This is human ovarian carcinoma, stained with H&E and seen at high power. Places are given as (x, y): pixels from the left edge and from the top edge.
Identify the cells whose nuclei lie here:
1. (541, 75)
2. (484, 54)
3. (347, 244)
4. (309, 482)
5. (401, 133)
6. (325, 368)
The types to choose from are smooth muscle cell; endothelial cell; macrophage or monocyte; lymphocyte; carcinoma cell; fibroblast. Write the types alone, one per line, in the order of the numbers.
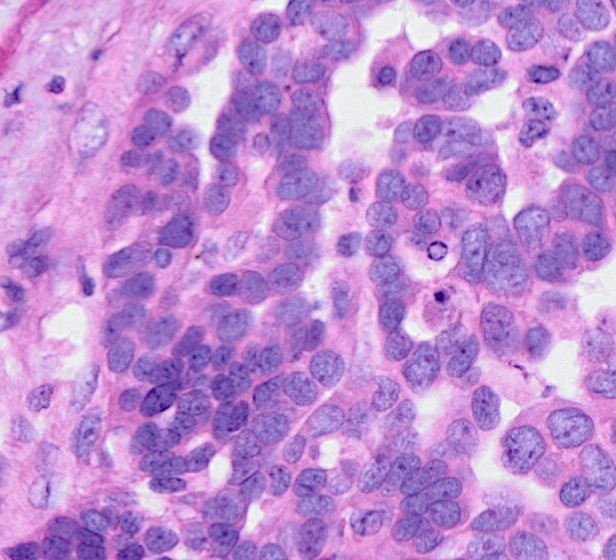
macrophage or monocyte
carcinoma cell
macrophage or monocyte
carcinoma cell
carcinoma cell
carcinoma cell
